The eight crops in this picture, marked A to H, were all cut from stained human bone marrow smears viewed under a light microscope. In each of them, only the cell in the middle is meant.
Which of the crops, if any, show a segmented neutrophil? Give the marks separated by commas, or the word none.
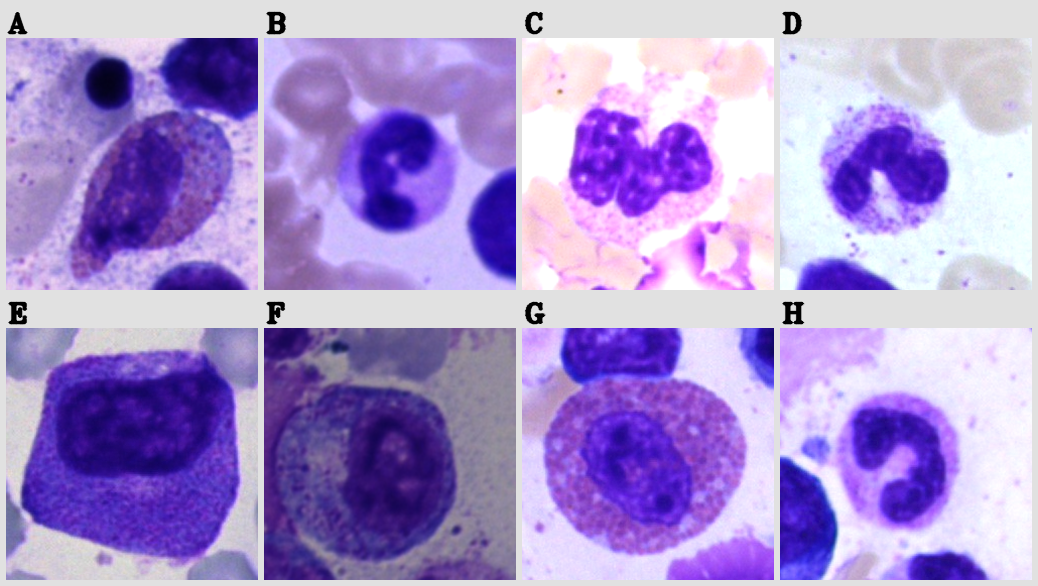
B, C, D, H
